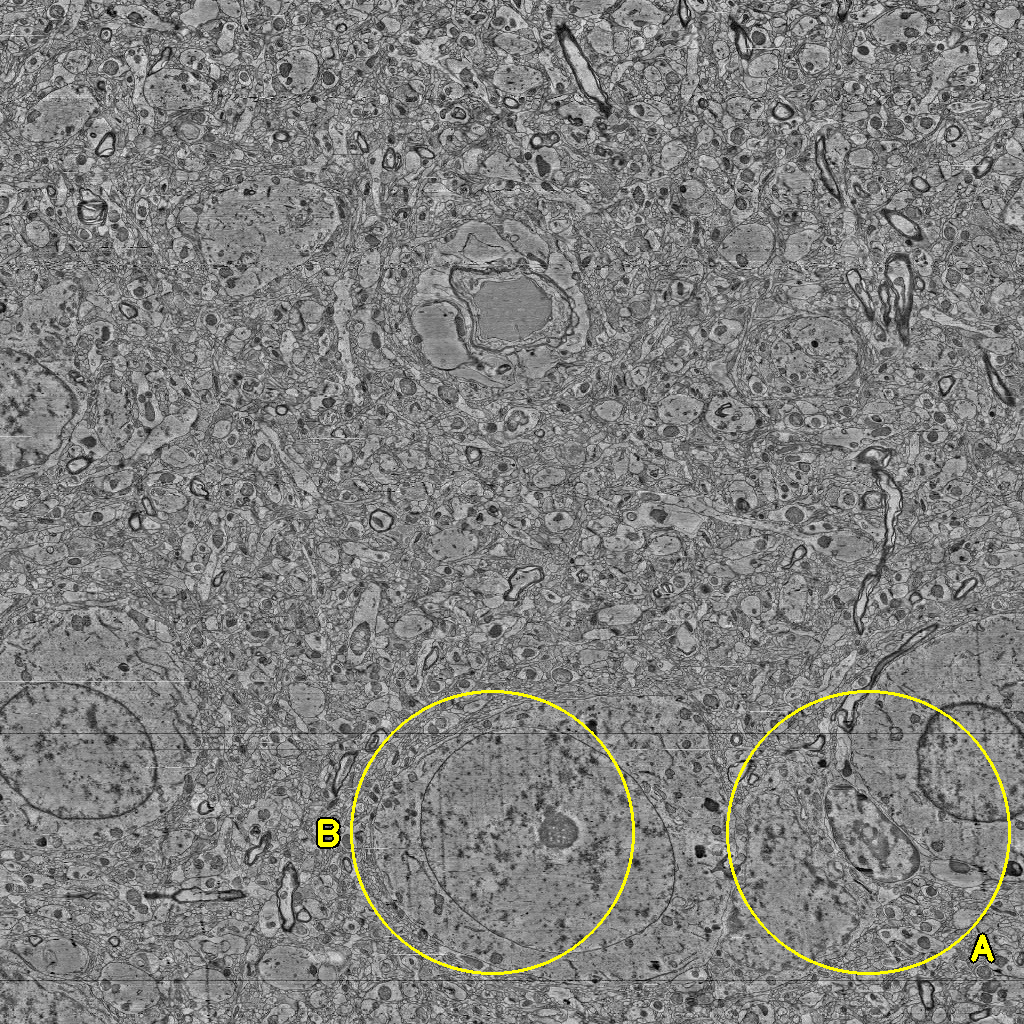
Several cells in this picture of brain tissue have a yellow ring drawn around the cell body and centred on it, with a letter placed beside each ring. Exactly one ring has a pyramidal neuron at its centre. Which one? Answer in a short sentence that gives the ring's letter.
Ring B is centred on it.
